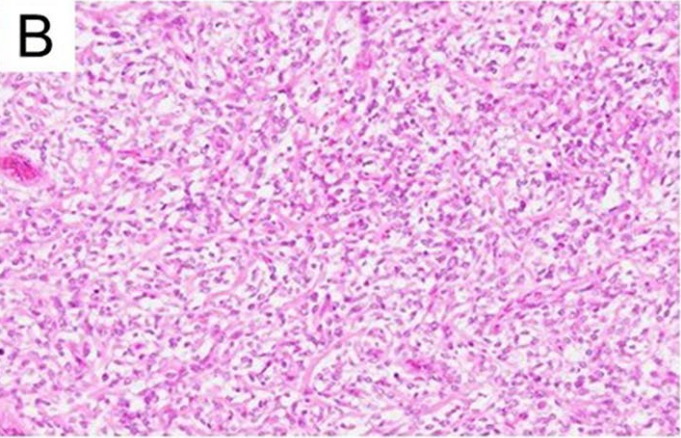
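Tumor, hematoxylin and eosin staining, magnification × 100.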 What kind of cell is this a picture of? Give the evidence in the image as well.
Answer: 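Densely packed cells have elongated, short spindle-shaped nuclei. The cells lie in no particular arrangement among pink fibrillary stroma.
Hence: short spindle-shaped cells.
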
